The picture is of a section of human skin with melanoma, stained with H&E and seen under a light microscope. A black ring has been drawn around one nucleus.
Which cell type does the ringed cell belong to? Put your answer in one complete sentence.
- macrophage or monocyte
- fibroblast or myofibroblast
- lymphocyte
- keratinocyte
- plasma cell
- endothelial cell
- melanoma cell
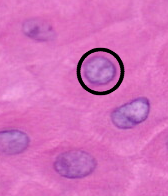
This is a keratinocyte.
